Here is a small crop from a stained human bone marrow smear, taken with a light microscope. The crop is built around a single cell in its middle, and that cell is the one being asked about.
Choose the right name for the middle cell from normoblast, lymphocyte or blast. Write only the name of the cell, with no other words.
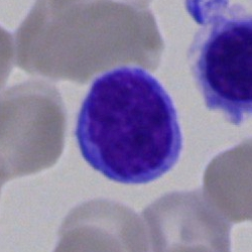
lymphocyte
